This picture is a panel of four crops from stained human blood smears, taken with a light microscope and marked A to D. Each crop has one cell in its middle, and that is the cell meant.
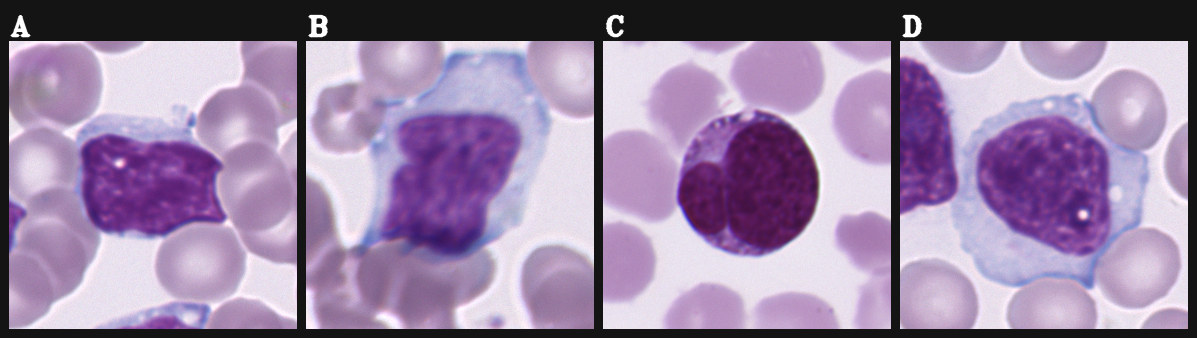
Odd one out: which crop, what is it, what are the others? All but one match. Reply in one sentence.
Crop A shows a typical lymphocyte, while all of the others show myeloblasts.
